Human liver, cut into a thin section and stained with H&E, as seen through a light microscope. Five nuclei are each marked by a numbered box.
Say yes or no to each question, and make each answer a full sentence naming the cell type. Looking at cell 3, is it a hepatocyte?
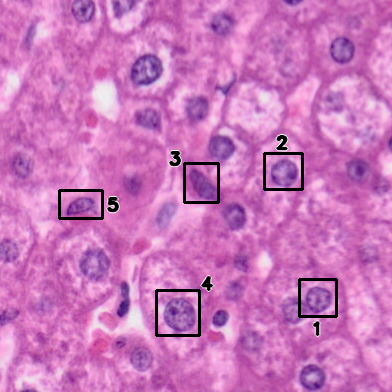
No, cell 3 is to be classed as a Kupffer cell, not a hepatocyte.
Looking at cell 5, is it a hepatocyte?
No, cell 5 is a Kupffer cell and should not be called a hepatocyte.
